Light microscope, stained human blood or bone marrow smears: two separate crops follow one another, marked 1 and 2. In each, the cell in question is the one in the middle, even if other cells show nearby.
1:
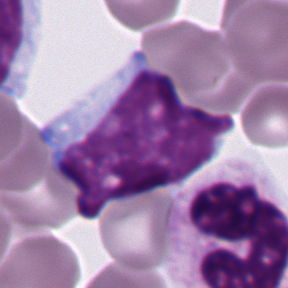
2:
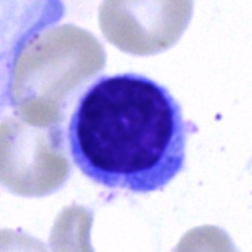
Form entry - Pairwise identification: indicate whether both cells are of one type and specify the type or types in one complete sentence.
Yes, both crops do show lymphocytes in the middle.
